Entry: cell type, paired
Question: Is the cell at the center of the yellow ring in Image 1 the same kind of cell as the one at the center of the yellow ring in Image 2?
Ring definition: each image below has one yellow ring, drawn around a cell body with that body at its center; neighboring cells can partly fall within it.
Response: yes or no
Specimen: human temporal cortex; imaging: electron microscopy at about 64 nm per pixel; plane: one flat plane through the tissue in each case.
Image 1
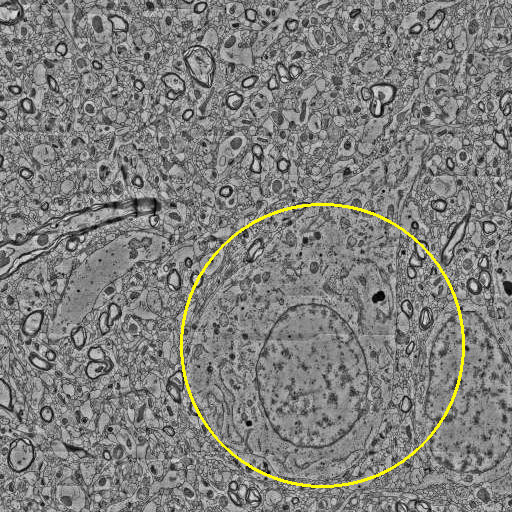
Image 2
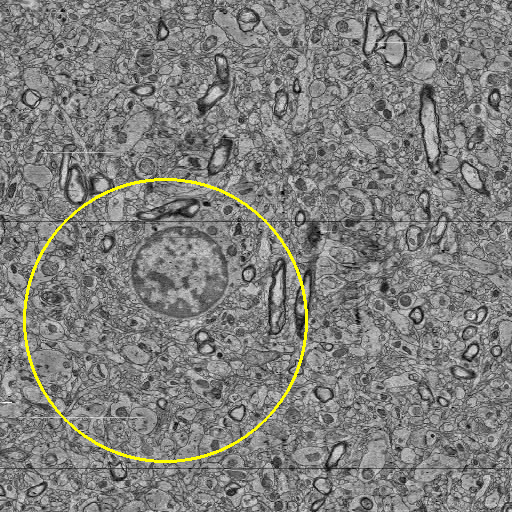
no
